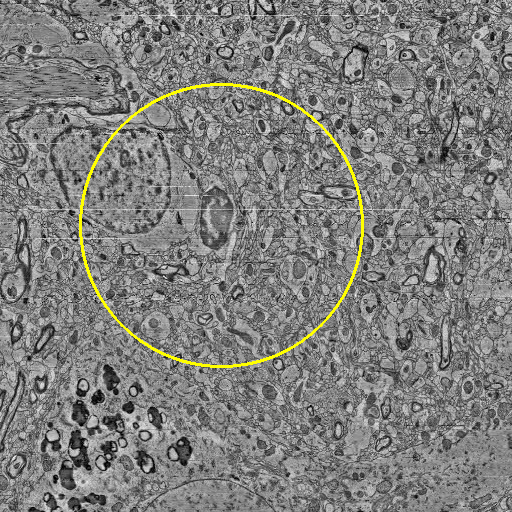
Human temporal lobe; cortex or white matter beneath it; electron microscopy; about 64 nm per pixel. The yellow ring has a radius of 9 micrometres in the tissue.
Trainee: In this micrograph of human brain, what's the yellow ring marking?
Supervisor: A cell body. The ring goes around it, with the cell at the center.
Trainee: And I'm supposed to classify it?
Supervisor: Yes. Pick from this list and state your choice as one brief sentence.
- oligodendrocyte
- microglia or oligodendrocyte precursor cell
The cell at the ring's center is a microglial cell or oligodendrocyte precursor cell.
